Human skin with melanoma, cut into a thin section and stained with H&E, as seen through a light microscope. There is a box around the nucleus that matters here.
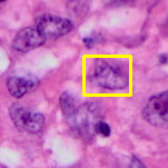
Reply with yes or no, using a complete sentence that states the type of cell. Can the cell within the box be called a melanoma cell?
Yes, correct on this one: the cell within the box is a melanoma cell.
